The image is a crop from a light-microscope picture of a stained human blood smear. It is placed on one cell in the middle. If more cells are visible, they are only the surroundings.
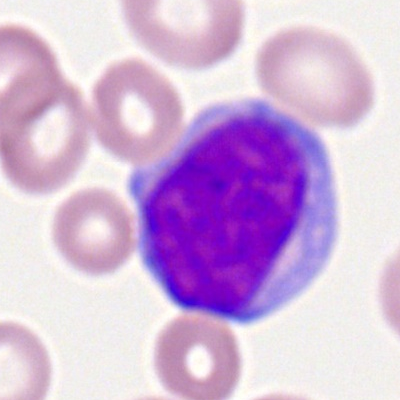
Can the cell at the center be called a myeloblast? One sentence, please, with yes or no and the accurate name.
Yes, as for the central cell, it is a myeloblast.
